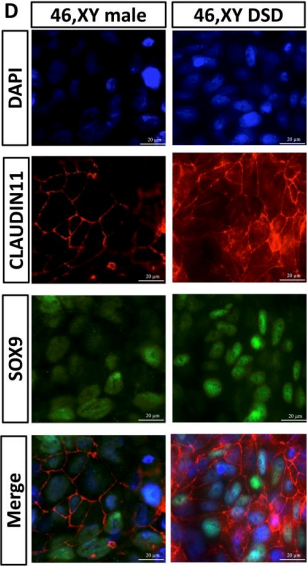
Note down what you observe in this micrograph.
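These are cultured cells in a dense sheet, shown with blue nuclei, a red membrane-associated stain and a green nuclear stain. In the left column the red stain outlines the cell borders as a fine polygonal network around each cell. In both columns the oval nuclei carry the green stain.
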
